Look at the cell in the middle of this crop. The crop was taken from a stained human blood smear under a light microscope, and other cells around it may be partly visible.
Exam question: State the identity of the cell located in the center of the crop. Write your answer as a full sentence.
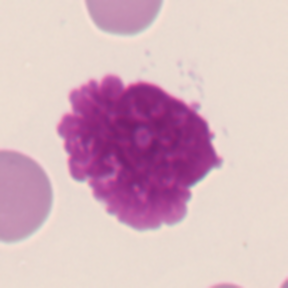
The cell nearest the centre of this crop is a smudge cell.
